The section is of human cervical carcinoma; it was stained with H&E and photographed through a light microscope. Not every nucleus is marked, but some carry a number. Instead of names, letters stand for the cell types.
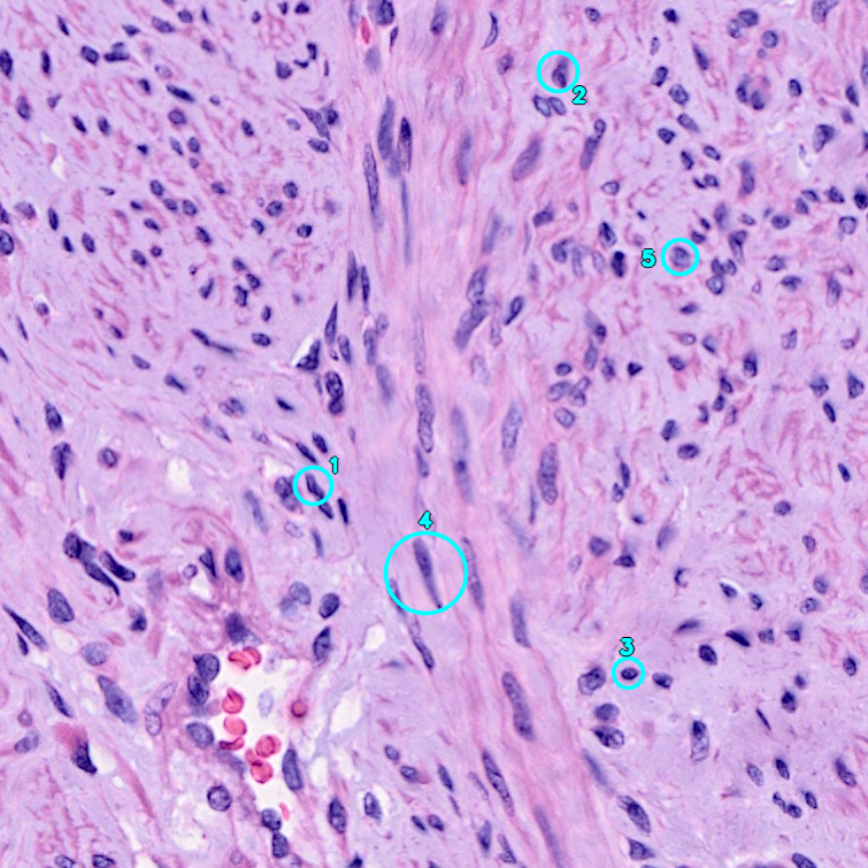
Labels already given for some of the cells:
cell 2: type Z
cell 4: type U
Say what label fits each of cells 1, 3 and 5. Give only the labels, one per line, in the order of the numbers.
type U
type U
type Z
